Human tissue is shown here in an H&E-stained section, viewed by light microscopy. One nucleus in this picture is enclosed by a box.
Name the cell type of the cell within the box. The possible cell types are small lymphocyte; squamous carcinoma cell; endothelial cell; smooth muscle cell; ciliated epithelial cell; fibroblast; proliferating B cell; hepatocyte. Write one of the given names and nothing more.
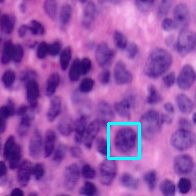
proliferating B cell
